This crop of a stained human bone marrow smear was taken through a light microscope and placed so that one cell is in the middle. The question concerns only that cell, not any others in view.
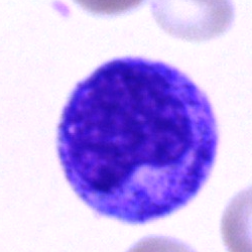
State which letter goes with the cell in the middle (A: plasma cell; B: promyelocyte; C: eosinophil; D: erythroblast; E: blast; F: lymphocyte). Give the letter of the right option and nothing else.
B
